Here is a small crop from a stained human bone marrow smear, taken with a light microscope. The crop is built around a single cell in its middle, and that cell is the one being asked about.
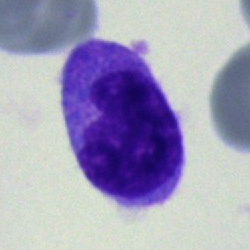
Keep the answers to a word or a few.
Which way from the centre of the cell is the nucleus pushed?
lower right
